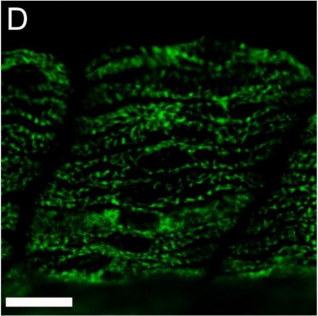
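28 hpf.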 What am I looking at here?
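Embryonic skeletal muscle in which the myofibril pattern is disorganized throughout the field. The green label does not form continuous, cross-striated fibres; instead it appears as scattered dots, short bars and irregular fragments spread through the muscle segments. Outlines of individual fibres are hard to follow, and darker gaps and rounded spaces interrupt the labelled material. Curved segment boundaries are still faintly discernible, but nowhere are the regular repeating stripes of ordered myofibrils seen, giving the tissue a speckled, meshwork-like look instead of the parallel striated fibres of normal muscle.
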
